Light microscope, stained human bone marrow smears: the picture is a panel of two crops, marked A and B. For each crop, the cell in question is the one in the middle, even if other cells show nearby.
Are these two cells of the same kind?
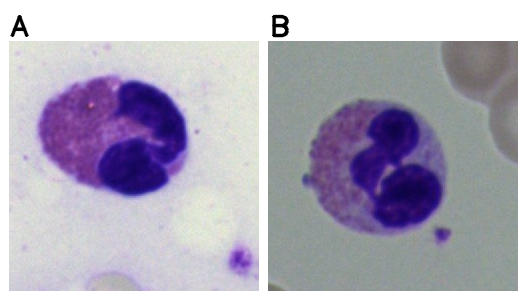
yes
